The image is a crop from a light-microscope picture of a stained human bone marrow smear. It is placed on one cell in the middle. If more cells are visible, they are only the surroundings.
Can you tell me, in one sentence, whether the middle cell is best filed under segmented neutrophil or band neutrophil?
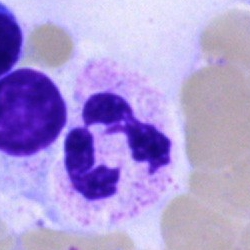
What the crop centres on is a segmented neutrophil.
